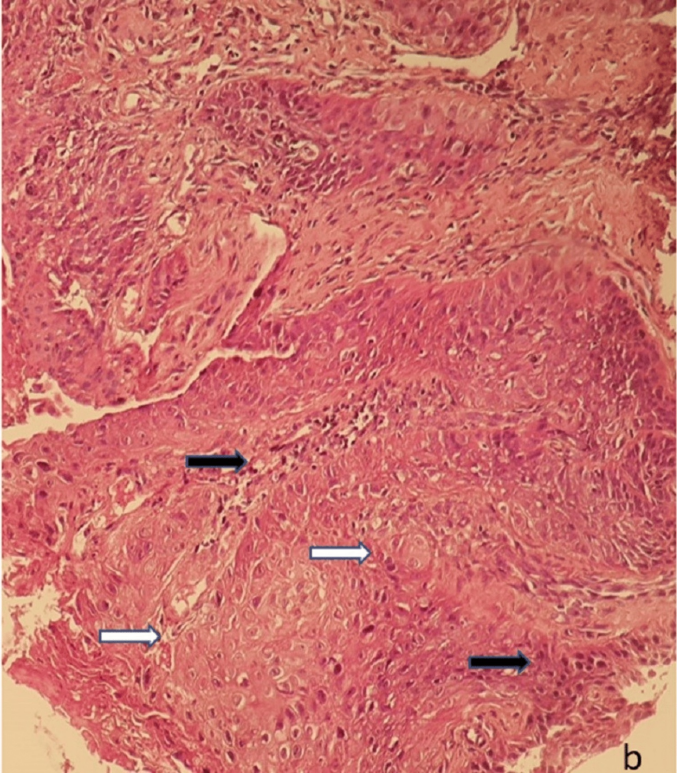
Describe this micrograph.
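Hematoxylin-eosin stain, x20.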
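This is a tumour of epithelial cells growing in nests that are separated by thin strands of pink connective tissue. At the edges of the nests, small basaloid cells with dark purple, crowded nuclei and scant cytoplasm line up side by side. Toward the centre of the nests, the cells are larger and polygonal. They have more abundant pale pink cytoplasm and rounder, paler nuclei. Here the cells look atypical and squamous, and they merge gradually with the darker cells at the periphery. A few scattered small dark cells lie in the stroma between the nests.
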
